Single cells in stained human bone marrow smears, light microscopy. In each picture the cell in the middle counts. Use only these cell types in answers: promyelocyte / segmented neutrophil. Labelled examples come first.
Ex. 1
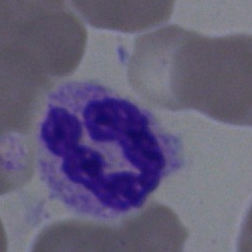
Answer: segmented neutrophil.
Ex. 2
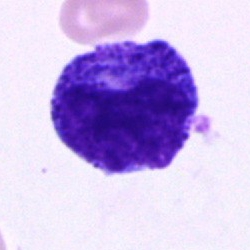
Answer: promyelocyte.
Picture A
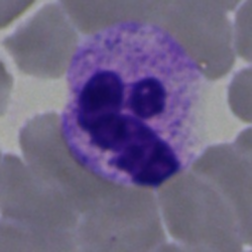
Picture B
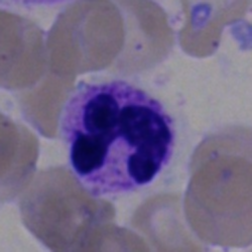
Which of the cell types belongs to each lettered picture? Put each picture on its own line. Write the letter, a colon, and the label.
A: segmented neutrophil.
B: segmented neutrophil.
